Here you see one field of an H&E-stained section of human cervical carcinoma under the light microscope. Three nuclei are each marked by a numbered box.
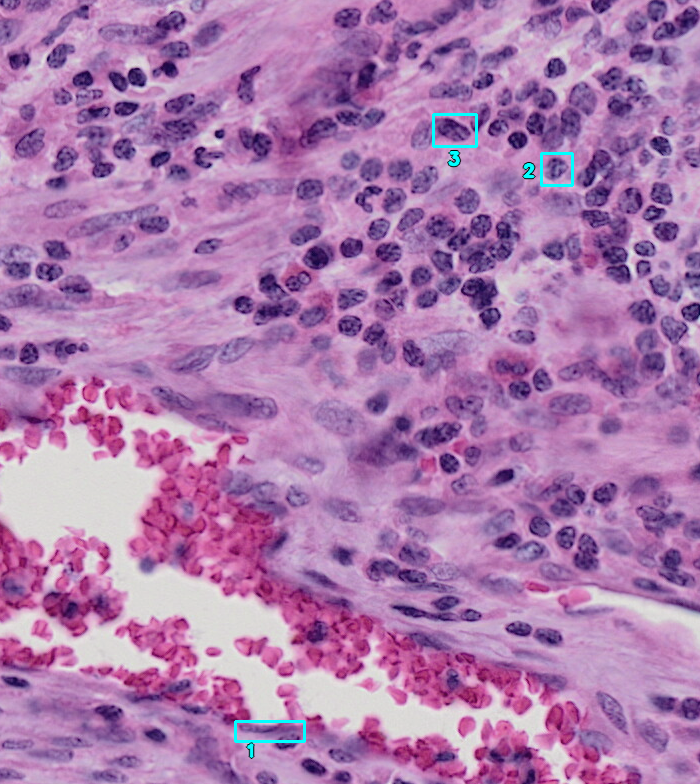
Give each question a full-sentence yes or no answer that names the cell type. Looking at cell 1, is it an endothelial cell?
Yes, on this slide, the cell with number 1 is an endothelial cell.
